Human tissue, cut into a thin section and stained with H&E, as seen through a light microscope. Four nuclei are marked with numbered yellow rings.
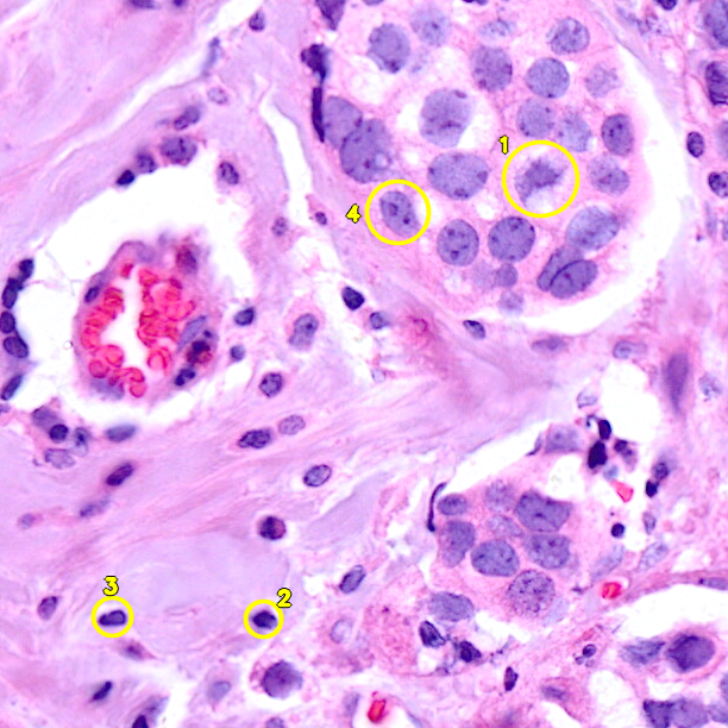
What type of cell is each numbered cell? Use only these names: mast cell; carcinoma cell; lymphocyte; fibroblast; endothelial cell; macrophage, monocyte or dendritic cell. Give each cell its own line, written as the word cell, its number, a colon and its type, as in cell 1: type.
cell 1: carcinoma cell
cell 2: lymphocyte
cell 3: lymphocyte
cell 4: carcinoma cell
